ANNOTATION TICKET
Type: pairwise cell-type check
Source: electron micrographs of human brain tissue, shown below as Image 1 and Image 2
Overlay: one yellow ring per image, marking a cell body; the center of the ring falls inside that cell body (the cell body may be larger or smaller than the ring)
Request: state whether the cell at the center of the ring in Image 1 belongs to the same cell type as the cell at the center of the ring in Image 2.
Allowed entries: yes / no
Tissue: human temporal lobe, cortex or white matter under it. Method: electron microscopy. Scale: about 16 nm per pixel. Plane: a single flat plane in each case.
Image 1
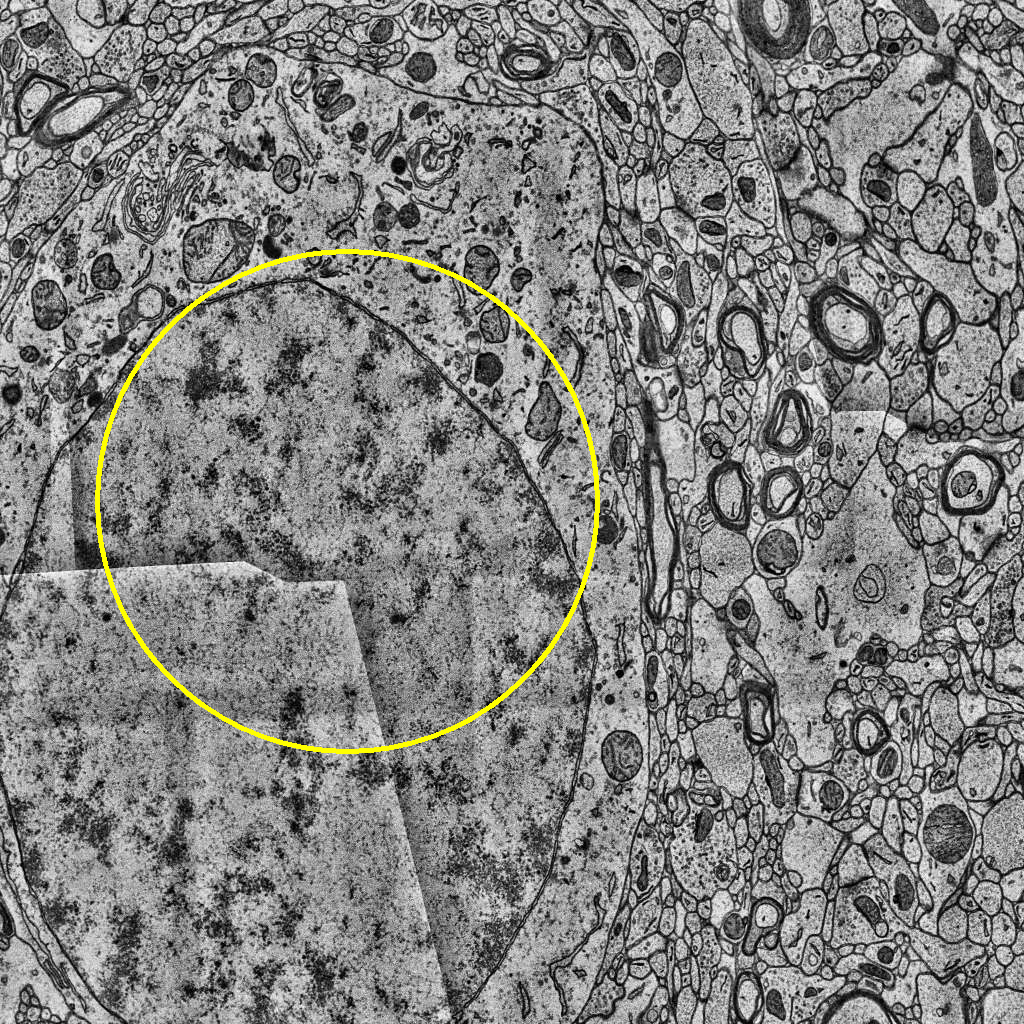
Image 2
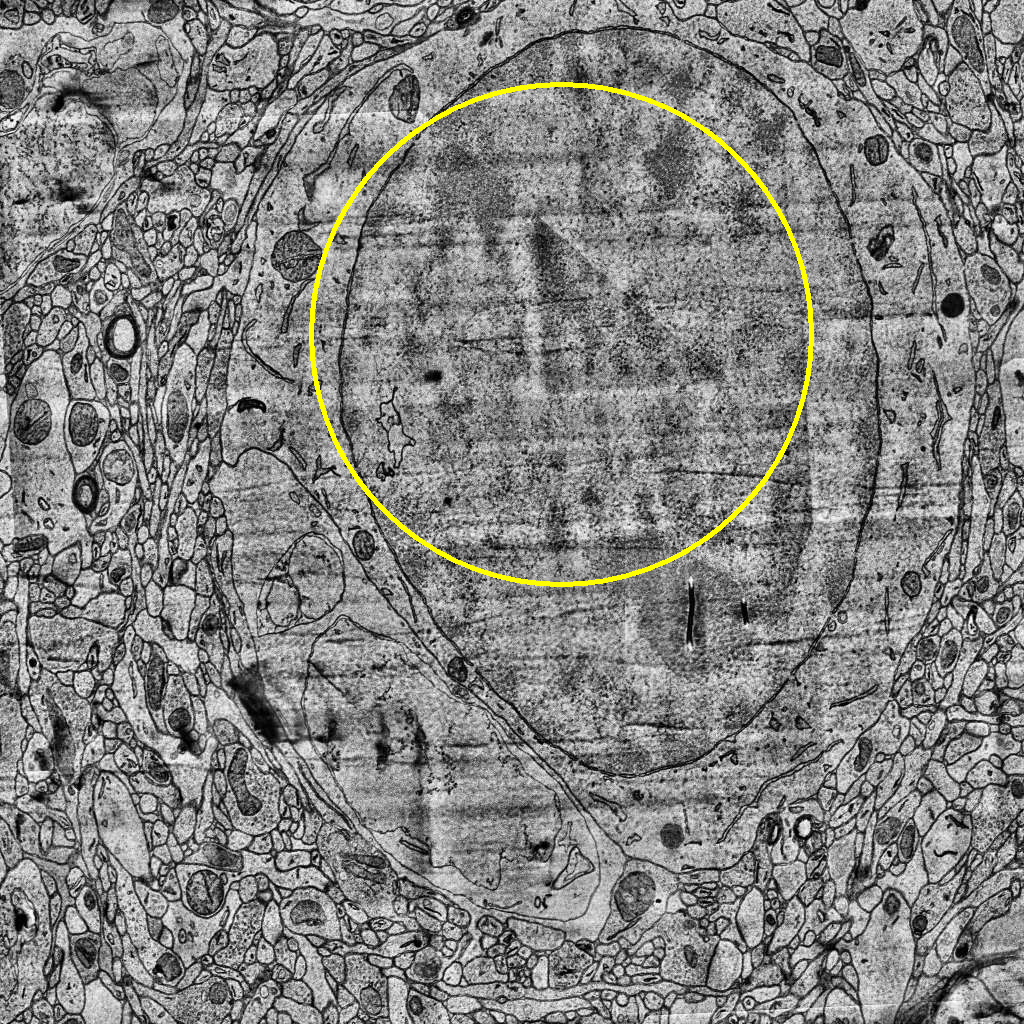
yes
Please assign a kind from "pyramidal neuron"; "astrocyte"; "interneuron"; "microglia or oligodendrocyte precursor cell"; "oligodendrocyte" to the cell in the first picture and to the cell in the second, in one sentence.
The ring centre holds a pyramidal neuron in each of the two pictures.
